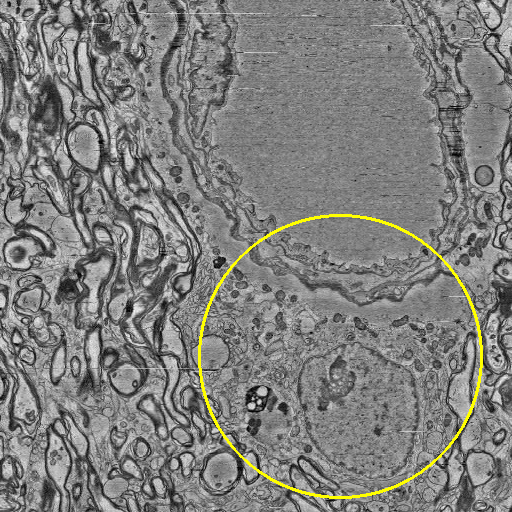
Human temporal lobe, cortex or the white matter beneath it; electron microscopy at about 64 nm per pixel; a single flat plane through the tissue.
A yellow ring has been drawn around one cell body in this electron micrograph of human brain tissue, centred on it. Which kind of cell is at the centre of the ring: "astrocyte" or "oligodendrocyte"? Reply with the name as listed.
astrocyte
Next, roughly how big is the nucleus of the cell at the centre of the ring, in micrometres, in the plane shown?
About 9 by 8 micrometers, in this plane.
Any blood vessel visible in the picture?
Yes, a blood vessel shows in the picture.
